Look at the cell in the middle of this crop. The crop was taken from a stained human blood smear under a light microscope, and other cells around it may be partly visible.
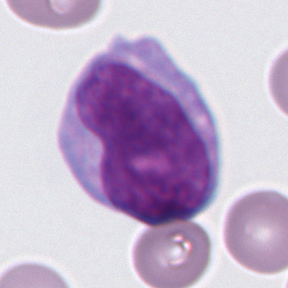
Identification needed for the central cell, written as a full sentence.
The identification for the central cell is an atypical promyelocyte.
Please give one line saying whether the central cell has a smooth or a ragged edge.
A smooth outline is absent here, replaced by ragged stretches or projections.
